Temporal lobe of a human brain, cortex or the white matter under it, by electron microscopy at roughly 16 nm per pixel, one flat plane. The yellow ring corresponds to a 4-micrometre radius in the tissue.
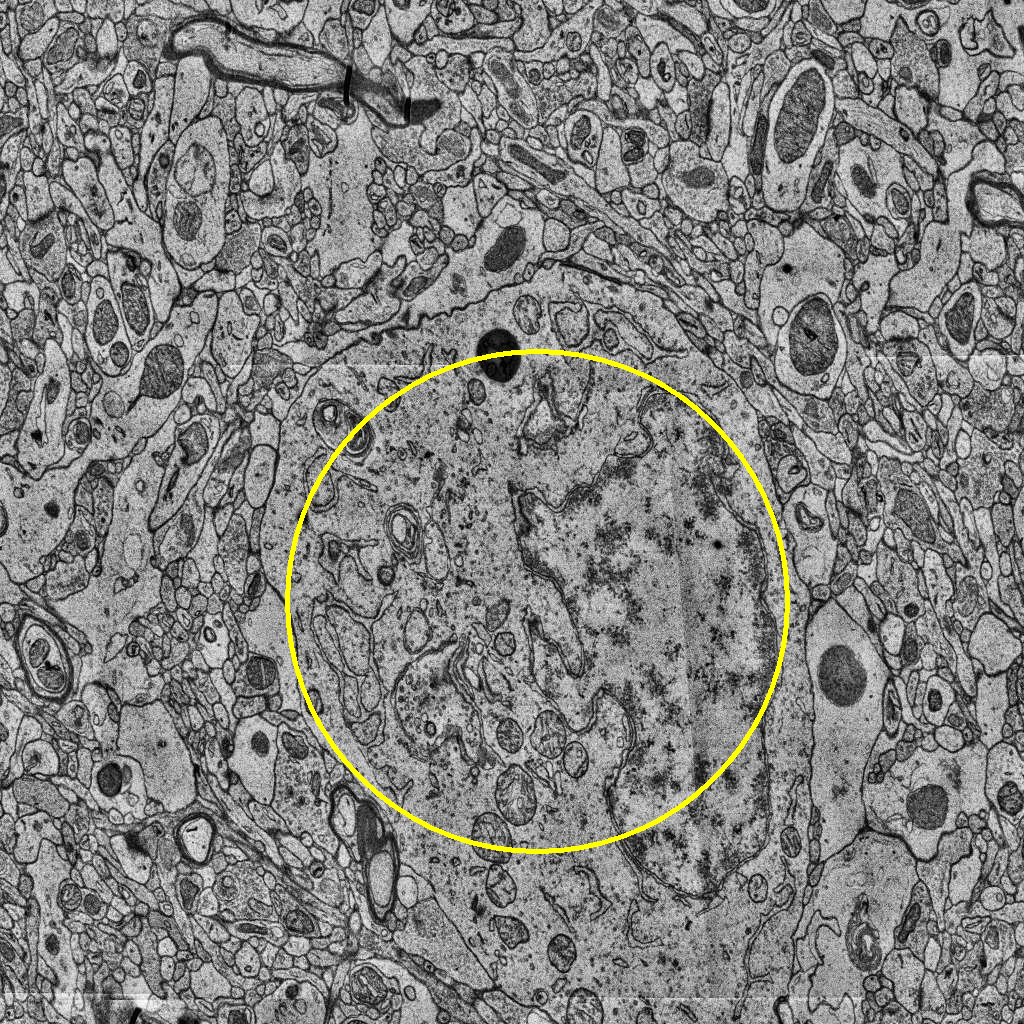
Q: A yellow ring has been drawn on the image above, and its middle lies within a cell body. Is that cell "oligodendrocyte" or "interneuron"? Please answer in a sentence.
The ring's middle lies in the cell body of an interneuron.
